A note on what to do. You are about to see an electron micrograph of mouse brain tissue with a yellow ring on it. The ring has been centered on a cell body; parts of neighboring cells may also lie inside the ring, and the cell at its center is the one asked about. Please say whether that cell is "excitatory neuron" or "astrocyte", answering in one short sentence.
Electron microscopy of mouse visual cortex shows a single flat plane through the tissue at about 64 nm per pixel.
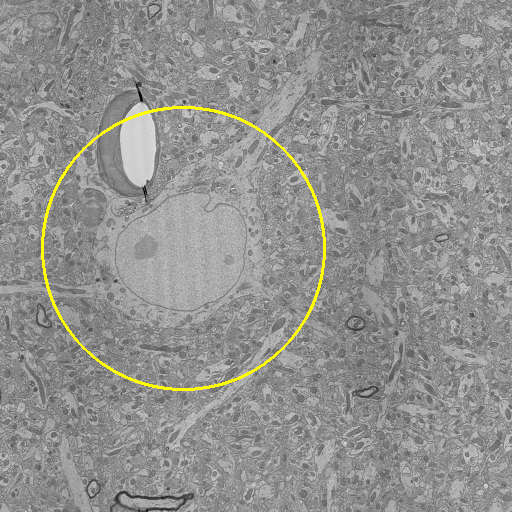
The yellow ring sits on an excitatory neuron.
